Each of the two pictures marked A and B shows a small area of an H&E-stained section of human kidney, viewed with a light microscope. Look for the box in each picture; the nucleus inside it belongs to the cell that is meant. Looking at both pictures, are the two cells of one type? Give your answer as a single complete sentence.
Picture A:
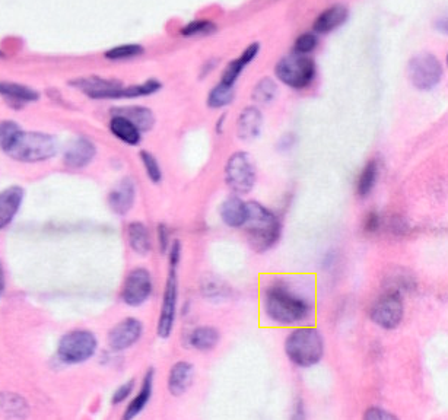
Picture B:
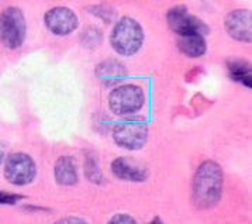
Yes, they are the same type: both are collecting duct cells.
